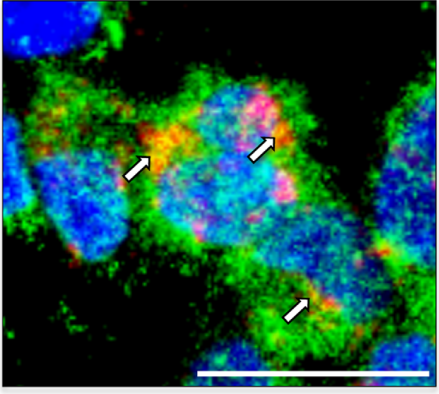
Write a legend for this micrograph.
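Around the nuclei lies a rim of cytoplasm that glows green in a grainy, granular way, with a ragged, fuzzy outer edge. Small red dots gather in clusters close beside the nuclei. Where red and green fall on the same spot, the colour turns yellow to orange; the white arrows point to such spots, lying near the edge of the nuclei and between neighbouring cells.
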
